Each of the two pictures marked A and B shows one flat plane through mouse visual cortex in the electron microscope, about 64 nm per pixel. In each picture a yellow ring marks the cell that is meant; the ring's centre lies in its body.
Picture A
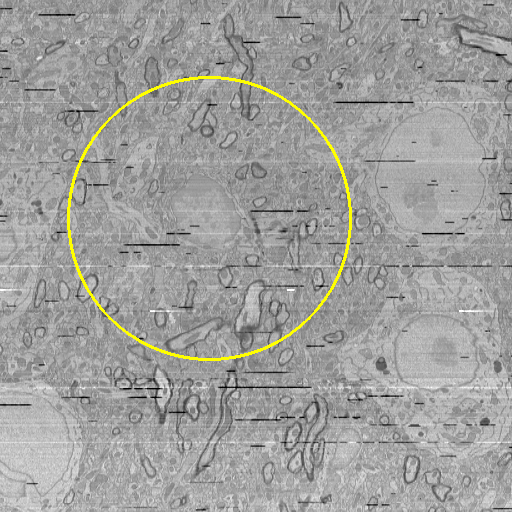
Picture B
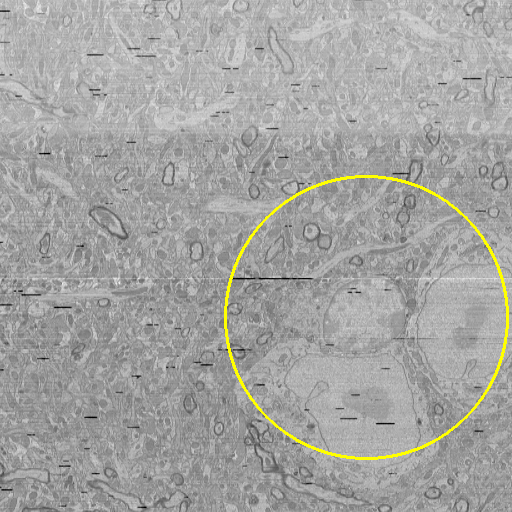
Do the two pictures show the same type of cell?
No. Picture A shows a microglial cell, but picture B shows an oligodendrocyte.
